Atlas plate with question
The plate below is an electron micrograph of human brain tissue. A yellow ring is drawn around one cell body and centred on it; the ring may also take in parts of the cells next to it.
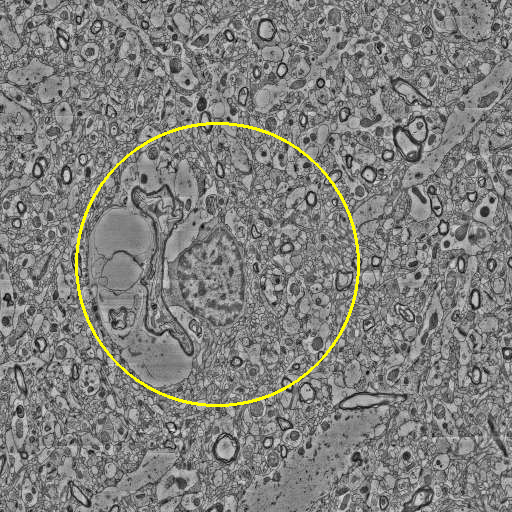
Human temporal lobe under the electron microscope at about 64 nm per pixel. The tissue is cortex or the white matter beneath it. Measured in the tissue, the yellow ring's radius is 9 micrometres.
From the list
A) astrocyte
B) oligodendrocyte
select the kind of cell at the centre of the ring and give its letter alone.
B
